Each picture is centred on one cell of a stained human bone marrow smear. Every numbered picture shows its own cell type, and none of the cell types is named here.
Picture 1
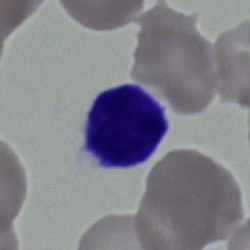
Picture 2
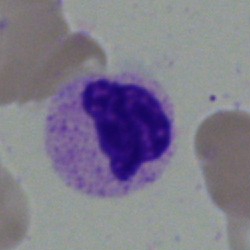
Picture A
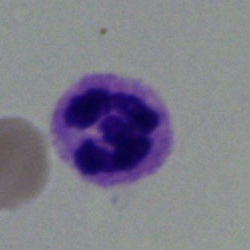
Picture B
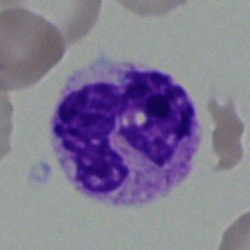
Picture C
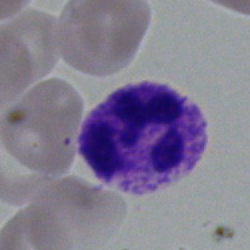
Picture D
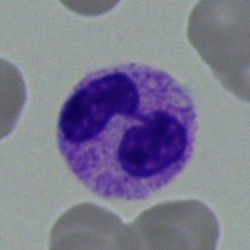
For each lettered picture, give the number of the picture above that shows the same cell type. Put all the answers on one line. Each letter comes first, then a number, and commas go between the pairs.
A 2, B 2, C 2, D 2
